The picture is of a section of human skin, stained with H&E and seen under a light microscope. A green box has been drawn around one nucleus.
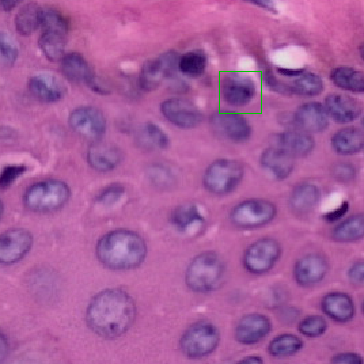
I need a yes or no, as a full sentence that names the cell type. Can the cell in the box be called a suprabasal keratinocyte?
No; the cell in the box should be labelled a basal keratinocyte rather than a suprabasal keratinocyte.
